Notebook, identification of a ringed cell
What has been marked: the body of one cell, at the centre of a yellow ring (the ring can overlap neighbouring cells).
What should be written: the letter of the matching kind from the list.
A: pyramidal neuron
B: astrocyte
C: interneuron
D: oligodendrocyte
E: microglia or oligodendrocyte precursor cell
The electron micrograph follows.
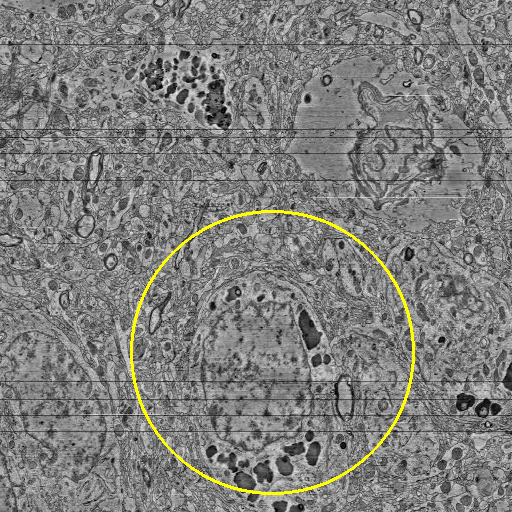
C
